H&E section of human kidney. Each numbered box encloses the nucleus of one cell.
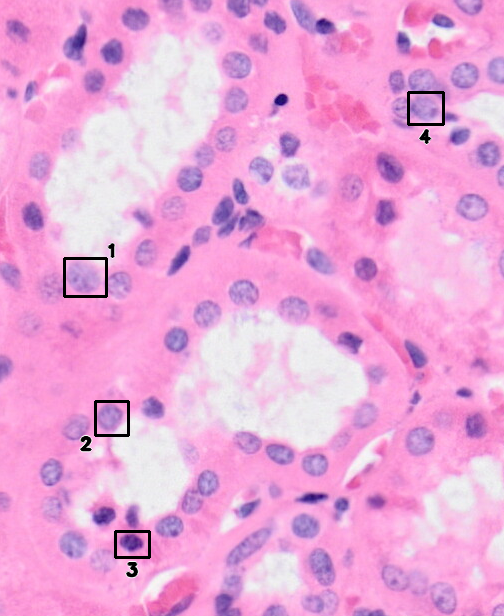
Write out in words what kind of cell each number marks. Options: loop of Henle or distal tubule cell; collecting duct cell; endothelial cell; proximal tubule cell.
Cell 1 is a loop of Henle or distal tubule cell, cell 2 is a loop of Henle or distal tubule cell, cell 3 is a loop of Henle or distal tubule cell and cell 4 is a collecting duct cell.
